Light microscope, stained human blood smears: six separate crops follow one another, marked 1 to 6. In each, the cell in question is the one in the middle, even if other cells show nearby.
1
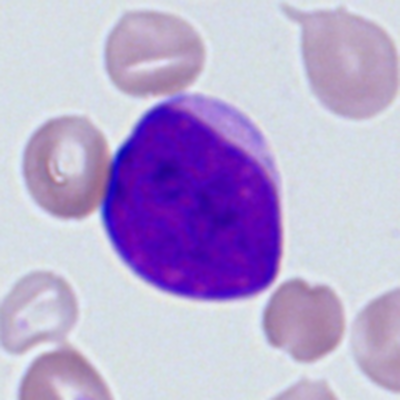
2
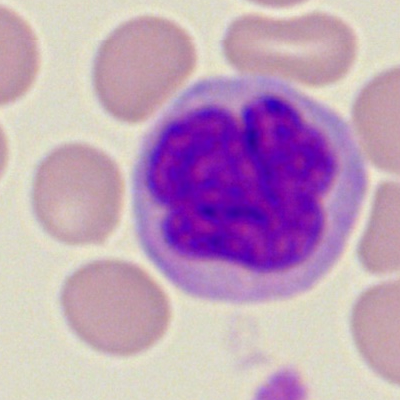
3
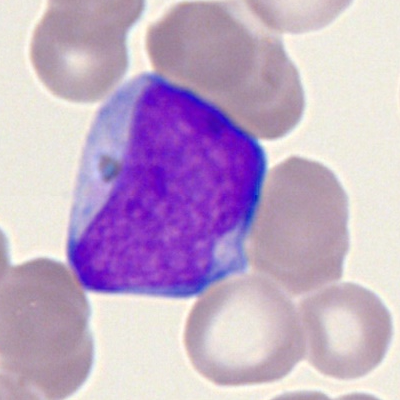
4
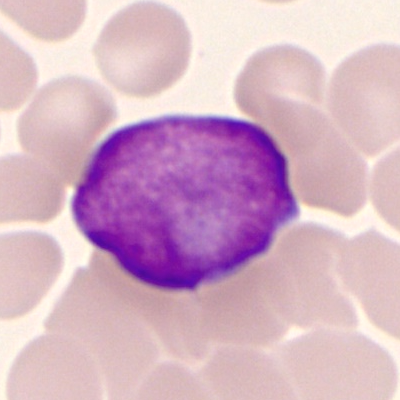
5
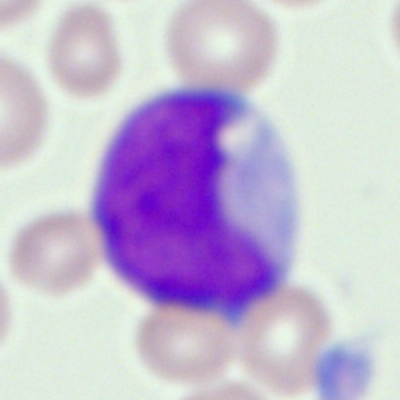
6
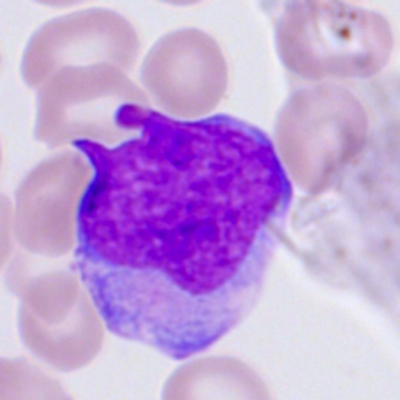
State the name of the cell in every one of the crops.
1: myeloblast
2: monocyte
3: myeloblast
4: myeloblast
5: myeloblast
6: myeloblast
